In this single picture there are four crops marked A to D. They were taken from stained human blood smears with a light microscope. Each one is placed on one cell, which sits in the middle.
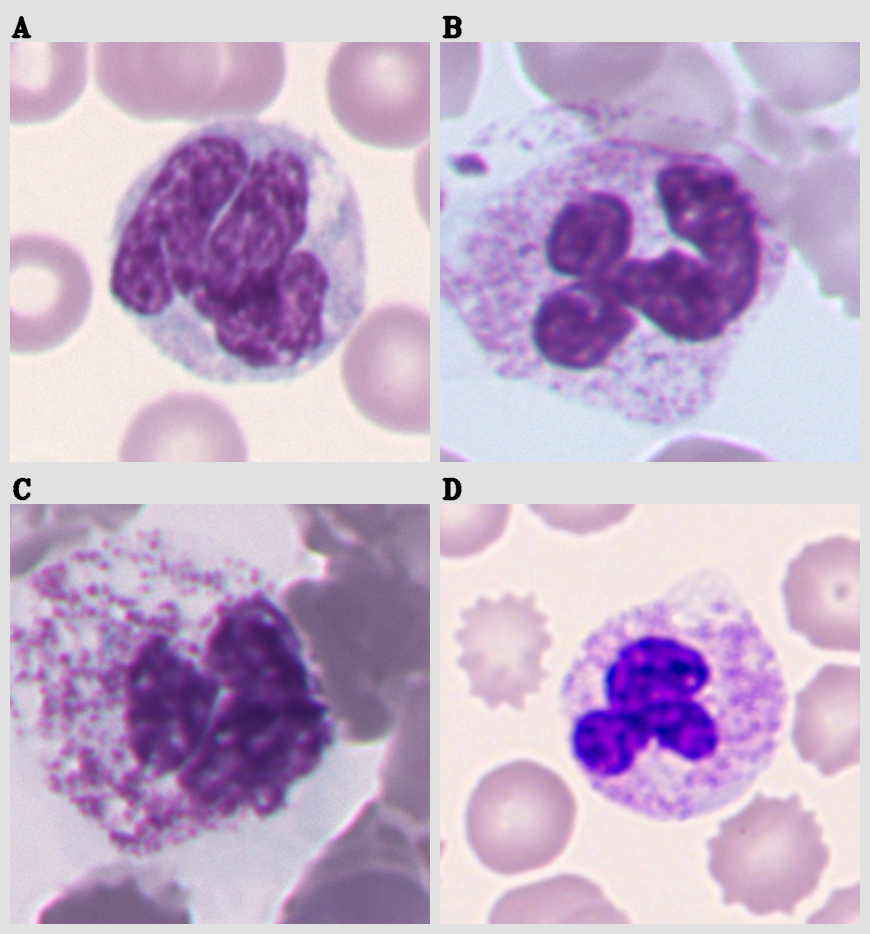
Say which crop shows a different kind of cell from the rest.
A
